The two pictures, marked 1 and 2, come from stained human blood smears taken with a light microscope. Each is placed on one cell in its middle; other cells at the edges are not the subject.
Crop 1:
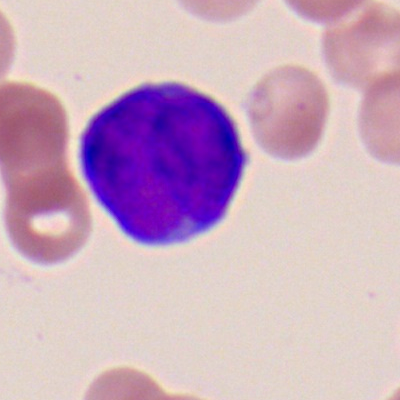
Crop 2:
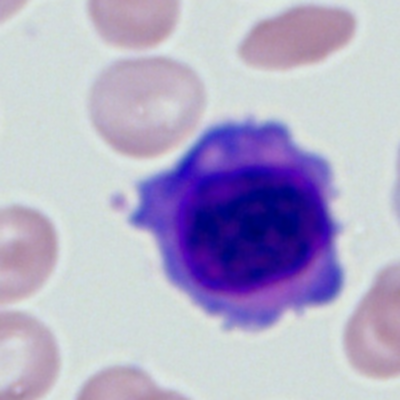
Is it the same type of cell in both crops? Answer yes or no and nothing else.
yes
